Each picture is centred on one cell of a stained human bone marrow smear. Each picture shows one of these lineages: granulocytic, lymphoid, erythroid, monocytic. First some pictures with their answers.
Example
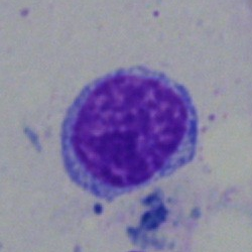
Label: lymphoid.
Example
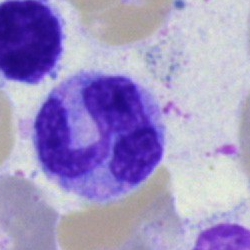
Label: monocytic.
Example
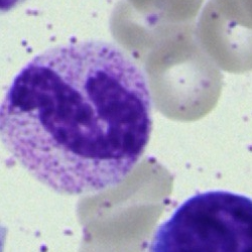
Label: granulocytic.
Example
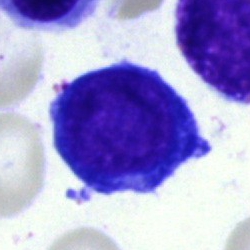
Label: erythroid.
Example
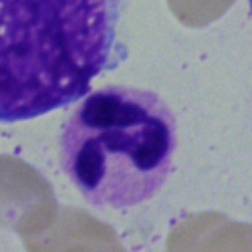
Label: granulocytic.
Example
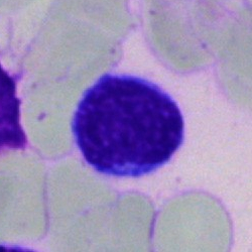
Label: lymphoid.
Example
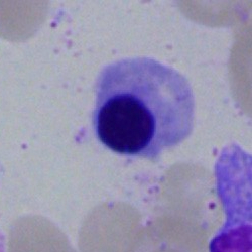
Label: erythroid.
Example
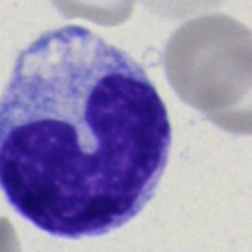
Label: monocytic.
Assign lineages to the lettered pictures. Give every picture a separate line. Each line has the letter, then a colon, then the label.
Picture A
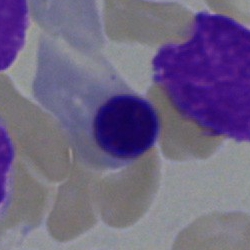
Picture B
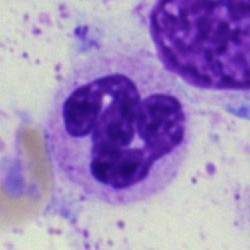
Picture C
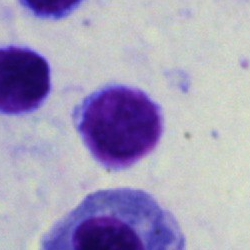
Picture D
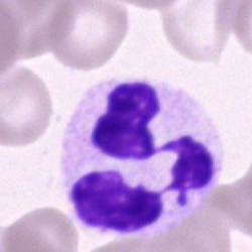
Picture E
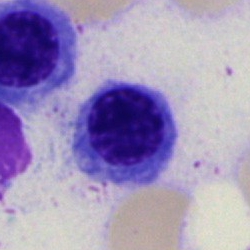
A: erythroid.
B: granulocytic.
C: lymphoid.
D: granulocytic.
E: erythroid.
